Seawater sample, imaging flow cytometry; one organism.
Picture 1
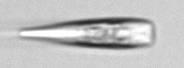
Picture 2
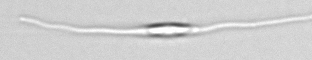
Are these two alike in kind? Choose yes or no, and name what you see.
No. First Licmophora, second Cylindrotheca.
